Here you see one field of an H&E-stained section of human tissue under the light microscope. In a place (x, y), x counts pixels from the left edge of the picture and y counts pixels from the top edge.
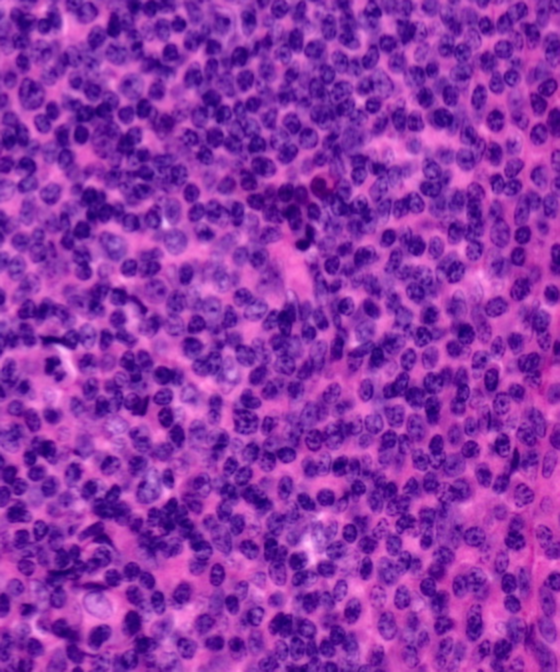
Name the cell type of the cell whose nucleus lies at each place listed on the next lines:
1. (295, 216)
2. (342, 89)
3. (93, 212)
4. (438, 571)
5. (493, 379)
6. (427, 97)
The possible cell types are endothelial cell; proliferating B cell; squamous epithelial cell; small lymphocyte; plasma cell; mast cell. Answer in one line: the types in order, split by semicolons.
small lymphocyte; small lymphocyte; small lymphocyte; plasma cell; plasma cell; small lymphocyte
